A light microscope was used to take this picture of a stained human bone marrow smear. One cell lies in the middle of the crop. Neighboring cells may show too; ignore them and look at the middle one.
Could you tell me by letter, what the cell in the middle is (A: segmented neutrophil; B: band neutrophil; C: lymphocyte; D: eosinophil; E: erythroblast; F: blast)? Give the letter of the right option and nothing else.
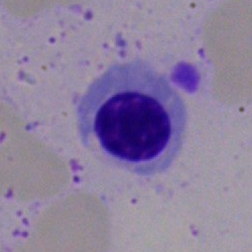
E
